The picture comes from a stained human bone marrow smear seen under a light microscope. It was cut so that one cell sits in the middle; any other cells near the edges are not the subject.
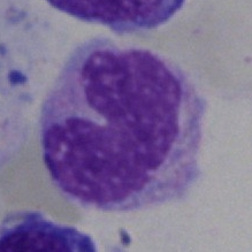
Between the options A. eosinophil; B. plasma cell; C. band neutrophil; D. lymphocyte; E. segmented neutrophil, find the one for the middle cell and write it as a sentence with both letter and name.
The cell in the middle is a band neutrophil, and that makes option C correct.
